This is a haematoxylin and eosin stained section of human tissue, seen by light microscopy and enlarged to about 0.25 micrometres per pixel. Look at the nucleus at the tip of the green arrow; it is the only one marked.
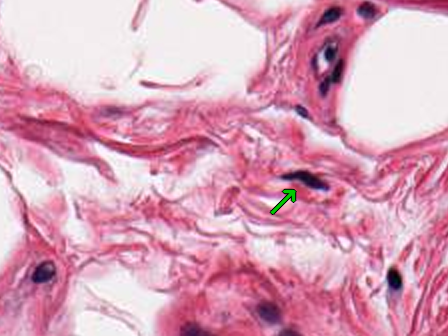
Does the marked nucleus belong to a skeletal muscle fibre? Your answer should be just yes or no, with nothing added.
no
